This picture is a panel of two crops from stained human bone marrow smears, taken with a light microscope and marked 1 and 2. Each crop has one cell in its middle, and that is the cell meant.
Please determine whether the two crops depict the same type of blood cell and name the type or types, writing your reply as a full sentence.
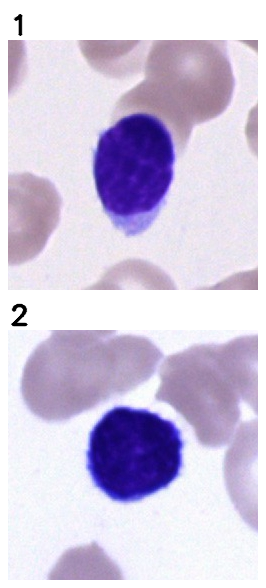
Yes, the two central cells, one per crop, are lymphocytes.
